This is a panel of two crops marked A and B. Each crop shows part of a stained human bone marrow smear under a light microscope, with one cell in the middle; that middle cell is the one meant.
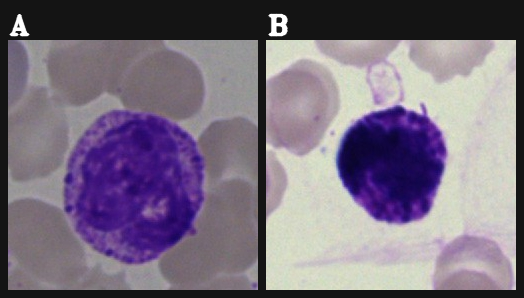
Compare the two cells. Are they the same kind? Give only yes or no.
yes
